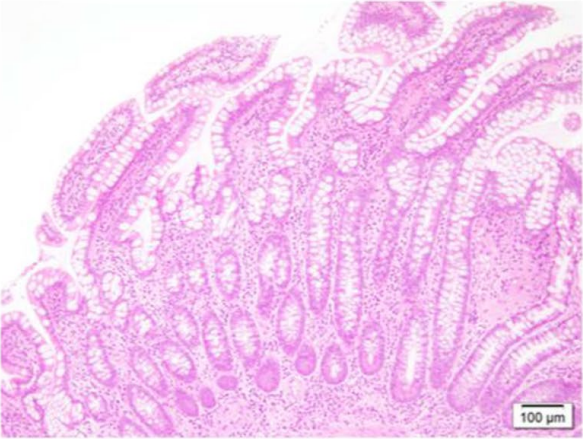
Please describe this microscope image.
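This is intestinal mucosa with tall, elongated, leaf-like projections and straight crypts lined by columnar epithelium rich in goblet cells. The goblet cells appear as pale, clear, rounded vacuoles packed between pink columnar cells along both the surface and the crypts. The lamina propria between the crypts is pink and holds scattered small dark nuclei of inflammatory cells.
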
